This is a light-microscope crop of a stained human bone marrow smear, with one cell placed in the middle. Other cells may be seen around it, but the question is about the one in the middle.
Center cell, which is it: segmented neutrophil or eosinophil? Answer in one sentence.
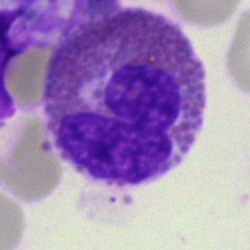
For this crop, the central cell is an eosinophil.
